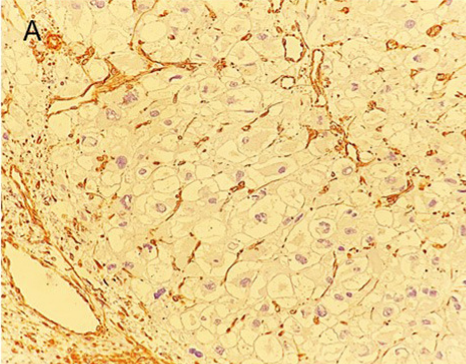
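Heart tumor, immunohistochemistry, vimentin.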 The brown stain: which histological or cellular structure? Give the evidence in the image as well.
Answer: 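Brown stain lines thin branching channels running between large pale cells. A large open lumen at the lower left is rimmed by brown-stained wall. The large pale cells themselves carry no brown stain. On this evidence: vessels.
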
